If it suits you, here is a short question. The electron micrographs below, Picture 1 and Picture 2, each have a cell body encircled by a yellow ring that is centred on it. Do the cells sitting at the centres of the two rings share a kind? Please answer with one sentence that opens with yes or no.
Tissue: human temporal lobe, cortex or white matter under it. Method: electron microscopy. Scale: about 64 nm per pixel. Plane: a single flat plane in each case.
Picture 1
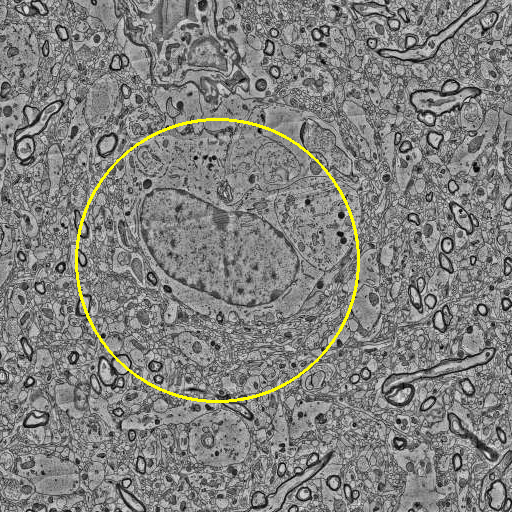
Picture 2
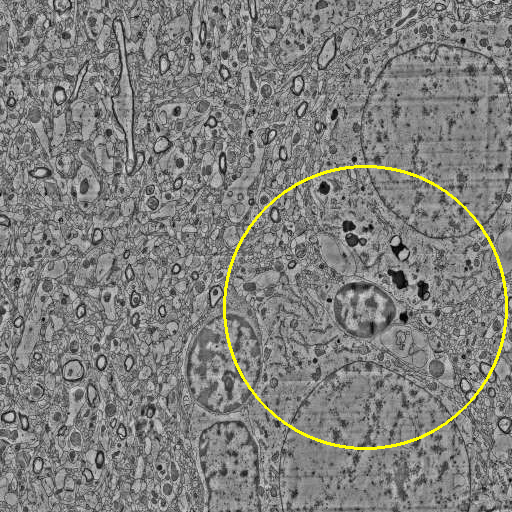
Yes, the two cells sitting at the ring centres share a single kind.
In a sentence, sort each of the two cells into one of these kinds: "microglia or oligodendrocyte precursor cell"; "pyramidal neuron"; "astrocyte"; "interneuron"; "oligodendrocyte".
The cell in the first picture is a microglial cell or oligodendrocyte precursor cell, and so is the one in the second.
